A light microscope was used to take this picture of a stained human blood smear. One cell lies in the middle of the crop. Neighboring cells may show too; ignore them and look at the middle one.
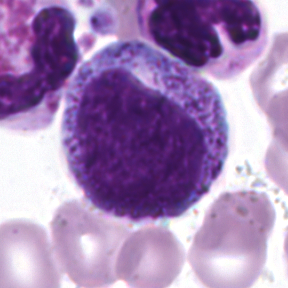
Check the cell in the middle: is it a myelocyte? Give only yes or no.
no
